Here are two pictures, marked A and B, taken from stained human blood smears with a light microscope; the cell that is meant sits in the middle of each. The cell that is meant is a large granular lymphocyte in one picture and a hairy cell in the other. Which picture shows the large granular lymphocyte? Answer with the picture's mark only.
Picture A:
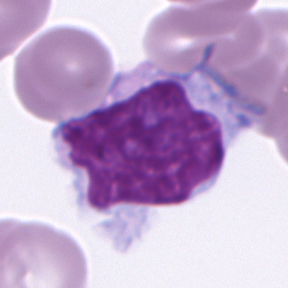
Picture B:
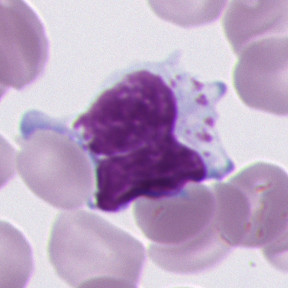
B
